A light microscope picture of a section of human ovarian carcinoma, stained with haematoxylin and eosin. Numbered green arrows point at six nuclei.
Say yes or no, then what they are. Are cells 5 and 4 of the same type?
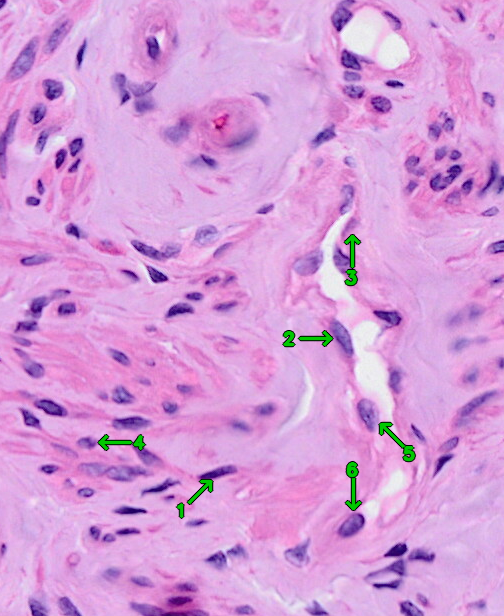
No, cell 5 is an endothelial cell and cell 4 is a smooth muscle cell.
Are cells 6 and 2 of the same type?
Yes, both are endothelial cells.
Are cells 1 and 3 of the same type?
No, cell 1 is a smooth muscle cell and cell 3 is an endothelial cell.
